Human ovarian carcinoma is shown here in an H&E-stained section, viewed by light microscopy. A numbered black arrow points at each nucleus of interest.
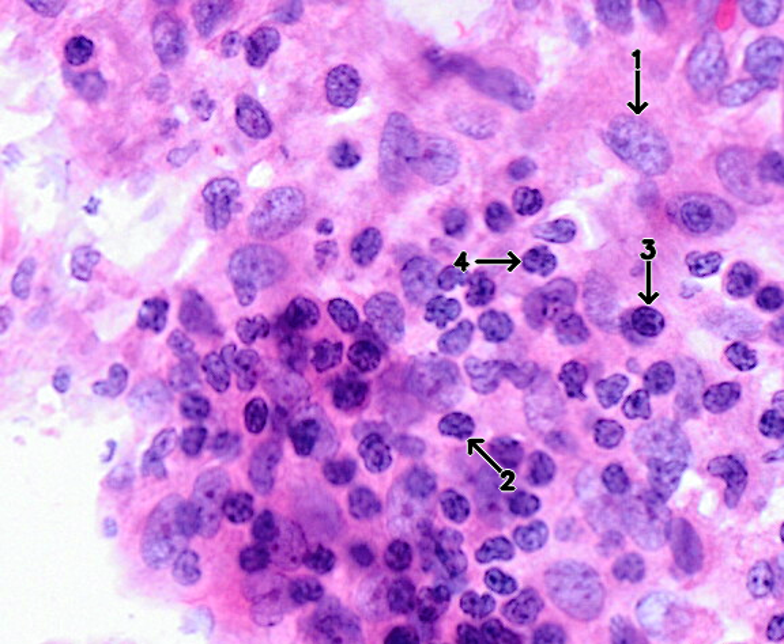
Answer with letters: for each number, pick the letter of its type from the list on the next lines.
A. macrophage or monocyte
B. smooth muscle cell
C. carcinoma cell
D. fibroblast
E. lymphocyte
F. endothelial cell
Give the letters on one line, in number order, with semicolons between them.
D; E; E; E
